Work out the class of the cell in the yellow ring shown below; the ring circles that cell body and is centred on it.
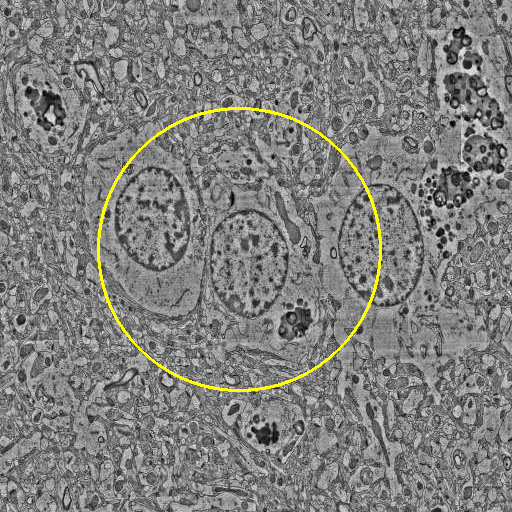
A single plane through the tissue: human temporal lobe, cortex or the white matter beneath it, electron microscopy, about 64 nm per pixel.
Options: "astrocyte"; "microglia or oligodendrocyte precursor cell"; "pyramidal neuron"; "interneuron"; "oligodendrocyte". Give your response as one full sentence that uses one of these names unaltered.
The body ringed in yellow, right at the ring's centre, is that of an astrocyte.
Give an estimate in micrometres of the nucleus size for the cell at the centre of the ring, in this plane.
Approximately 7 micrometres long and 5 micrometres wide, in this plane.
